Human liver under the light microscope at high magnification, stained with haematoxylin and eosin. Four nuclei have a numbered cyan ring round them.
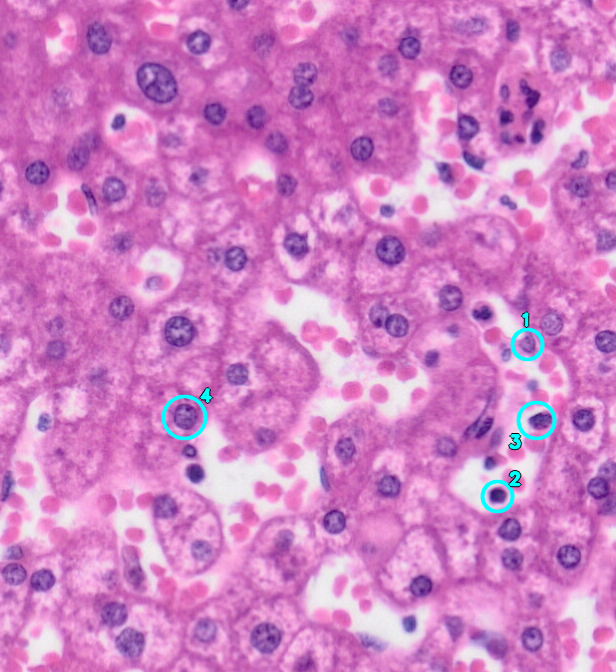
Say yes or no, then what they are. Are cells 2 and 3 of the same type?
Yes, both are lymphocytes.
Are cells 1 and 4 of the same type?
No, cell 1 is a Kupffer cell and cell 4 is a hepatocyte.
